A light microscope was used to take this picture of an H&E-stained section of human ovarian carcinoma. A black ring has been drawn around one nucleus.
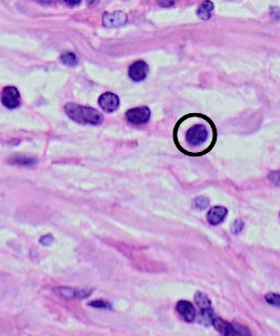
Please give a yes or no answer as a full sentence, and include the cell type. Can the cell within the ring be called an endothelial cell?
No, in this section the cell within the ring is a lymphocyte and not an endothelial cell.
